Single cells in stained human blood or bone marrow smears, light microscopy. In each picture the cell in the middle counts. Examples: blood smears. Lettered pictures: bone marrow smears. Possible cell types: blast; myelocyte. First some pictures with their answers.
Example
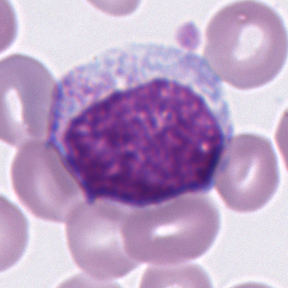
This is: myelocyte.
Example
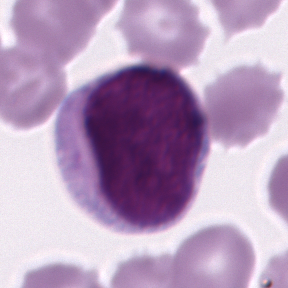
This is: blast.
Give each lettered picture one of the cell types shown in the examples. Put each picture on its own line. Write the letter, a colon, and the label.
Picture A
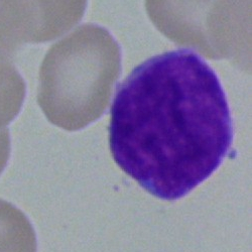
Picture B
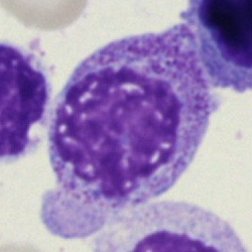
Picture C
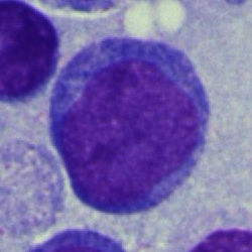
A: blast.
B: myelocyte.
C: blast.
